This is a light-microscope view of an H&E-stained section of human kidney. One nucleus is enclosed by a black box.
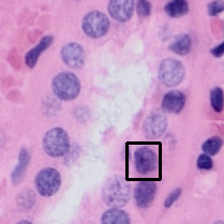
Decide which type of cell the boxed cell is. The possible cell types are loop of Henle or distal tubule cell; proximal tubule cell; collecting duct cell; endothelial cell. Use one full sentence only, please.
In the context of this tissue, the boxed cell is a collecting duct cell.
